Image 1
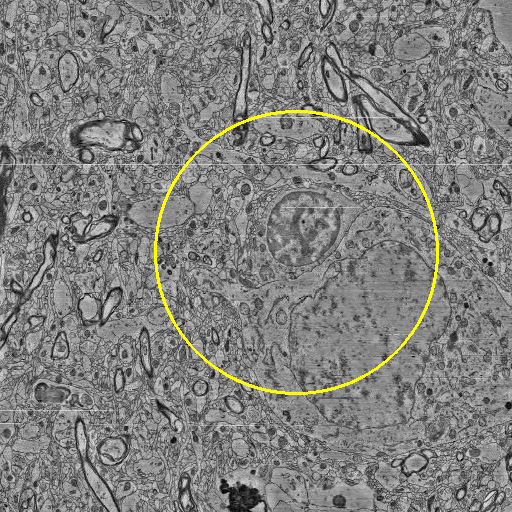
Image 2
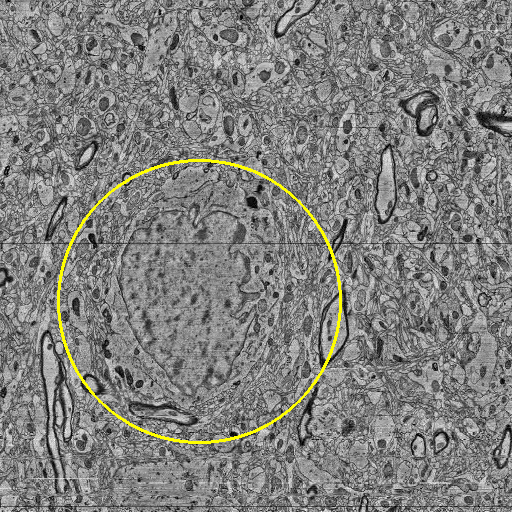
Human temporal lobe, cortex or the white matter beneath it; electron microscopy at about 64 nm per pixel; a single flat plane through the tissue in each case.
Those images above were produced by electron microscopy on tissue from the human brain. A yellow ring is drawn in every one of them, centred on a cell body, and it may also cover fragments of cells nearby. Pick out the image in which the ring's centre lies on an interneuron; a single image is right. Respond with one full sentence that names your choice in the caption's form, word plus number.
Image 2 is my choice: its ring is centred on the requested cell.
